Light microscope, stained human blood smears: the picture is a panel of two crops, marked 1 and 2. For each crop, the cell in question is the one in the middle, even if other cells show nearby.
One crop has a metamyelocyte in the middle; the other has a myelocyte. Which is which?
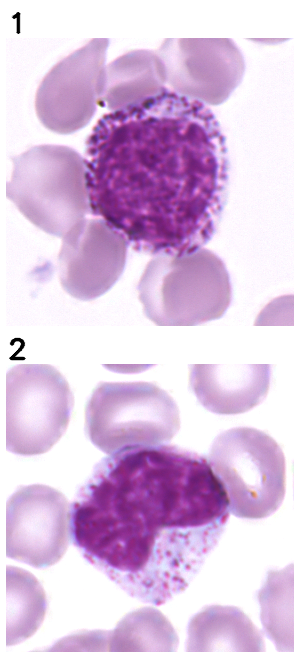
1: myelocyte
2: metamyelocyte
